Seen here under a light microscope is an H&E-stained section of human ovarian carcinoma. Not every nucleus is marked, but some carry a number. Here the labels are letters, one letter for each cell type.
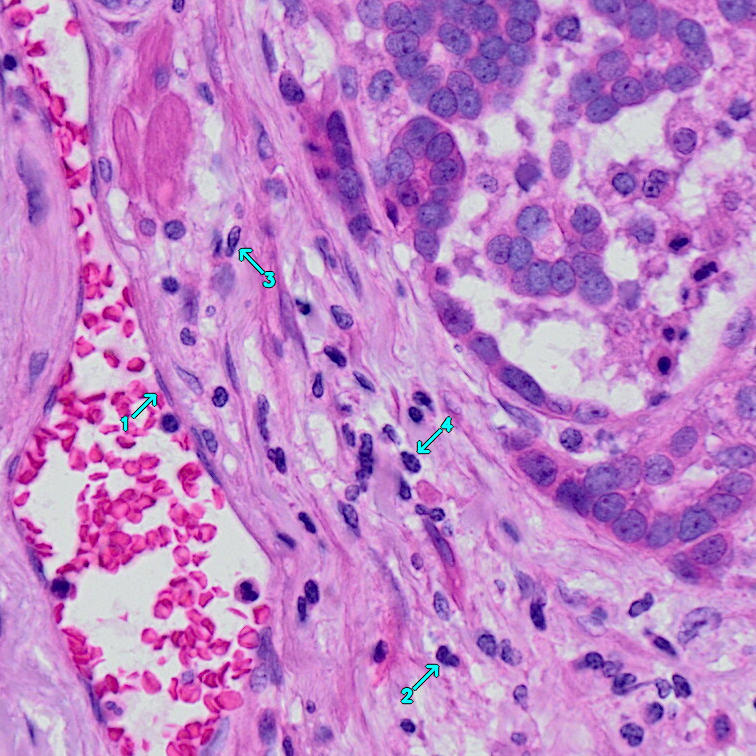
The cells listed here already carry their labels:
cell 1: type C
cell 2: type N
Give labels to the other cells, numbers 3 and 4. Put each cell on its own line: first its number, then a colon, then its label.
3: type N
4: type N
